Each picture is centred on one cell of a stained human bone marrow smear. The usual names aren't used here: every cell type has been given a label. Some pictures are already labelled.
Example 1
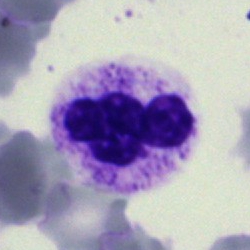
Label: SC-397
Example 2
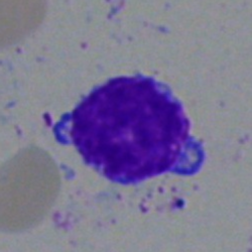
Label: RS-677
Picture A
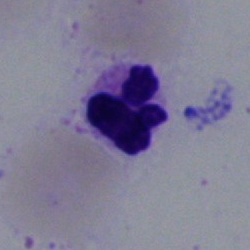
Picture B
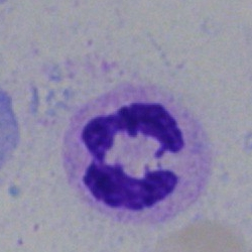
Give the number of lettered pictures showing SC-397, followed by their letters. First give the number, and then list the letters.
2, namely A, B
